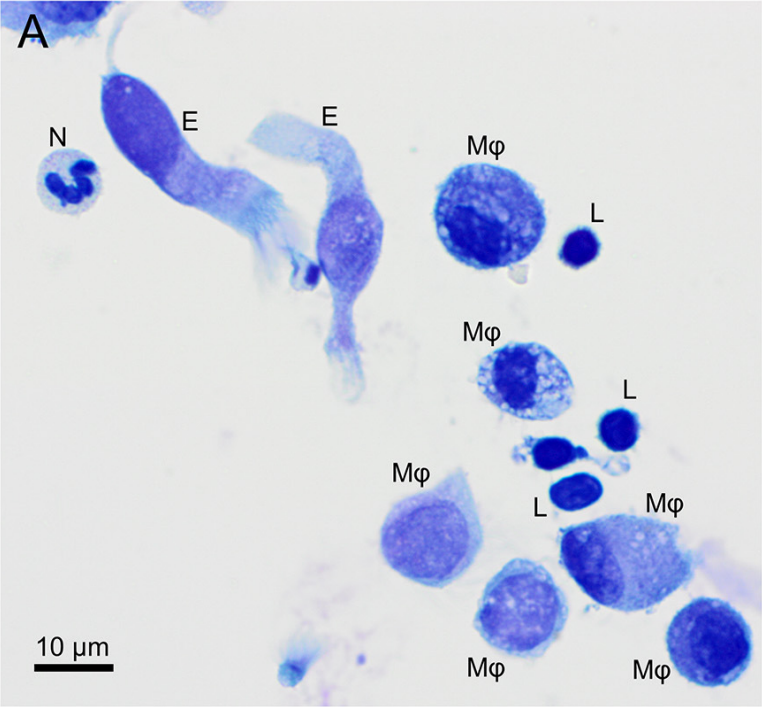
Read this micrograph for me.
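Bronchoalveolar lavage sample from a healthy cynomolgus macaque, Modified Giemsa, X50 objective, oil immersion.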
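The lymphocytes are much smaller, with a dense, dark, round nucleus and hardly any visible cytoplasm. Upper left lies a neutrophil with a lobed dark nucleus in pale cytoplasm, and beside it two elongated columnar epithelial cells with a tapering tail at one end and a fringe at the other.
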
